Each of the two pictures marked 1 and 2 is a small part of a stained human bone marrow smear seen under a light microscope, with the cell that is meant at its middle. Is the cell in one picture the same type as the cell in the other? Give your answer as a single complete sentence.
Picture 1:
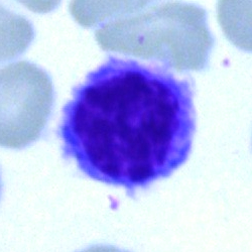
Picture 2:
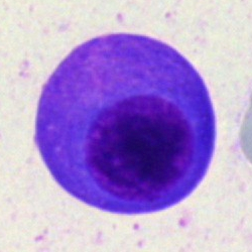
No, the types are not the same, since picture 1 shows a hairy cell and picture 2 a plasma cell.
